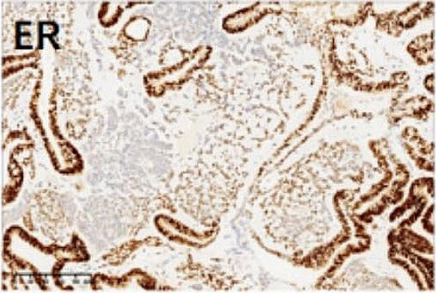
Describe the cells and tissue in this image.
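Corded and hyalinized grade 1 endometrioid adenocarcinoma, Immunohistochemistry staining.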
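Winding tubular glands are outlined by a continuous band of epithelial nuclei that stain intensely brown. Between them lie large solid nests of cells whose nuclei are pale or only faintly tinted, with a light background.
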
